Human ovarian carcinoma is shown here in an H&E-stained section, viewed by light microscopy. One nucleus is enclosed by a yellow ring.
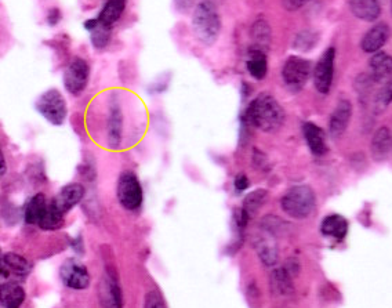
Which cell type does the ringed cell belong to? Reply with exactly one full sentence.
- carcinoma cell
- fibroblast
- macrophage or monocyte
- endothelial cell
In this tissue sample, the ringed cell is a macrophage or monocyte.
